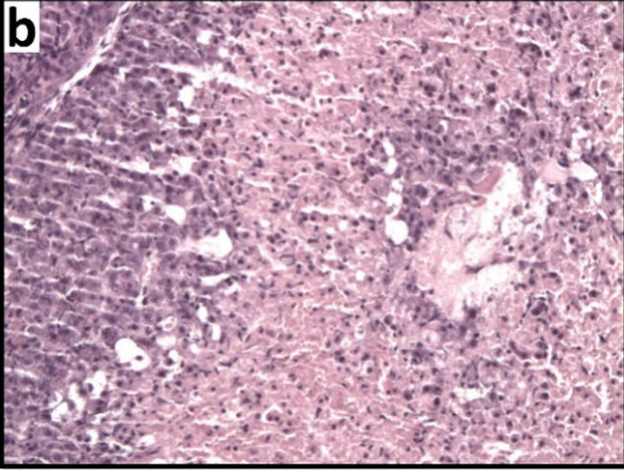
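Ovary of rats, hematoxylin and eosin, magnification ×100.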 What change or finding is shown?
degeneration of corpora lutea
